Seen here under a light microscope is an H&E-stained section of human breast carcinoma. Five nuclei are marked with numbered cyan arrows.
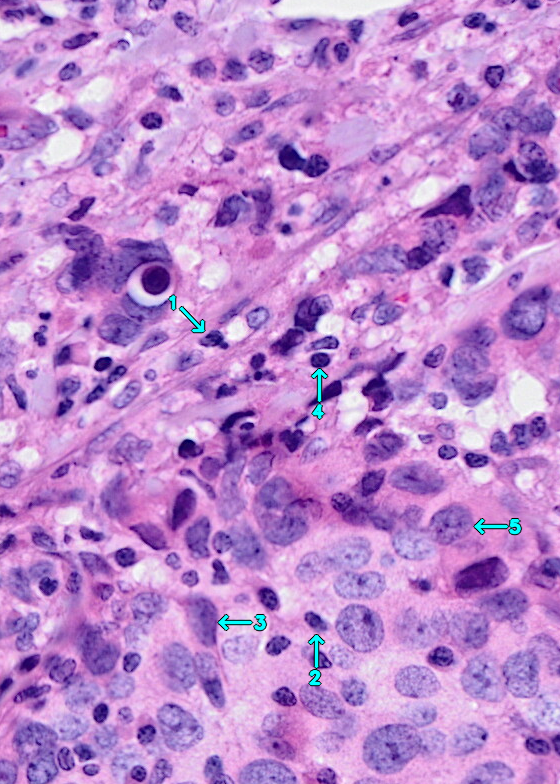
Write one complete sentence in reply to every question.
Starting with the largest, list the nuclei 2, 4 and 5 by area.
Largest first, the order by area is 5, 2, 4.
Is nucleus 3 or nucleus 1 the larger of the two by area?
Nucleus 3 covers more area, about 3 times as much as nucleus 1.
